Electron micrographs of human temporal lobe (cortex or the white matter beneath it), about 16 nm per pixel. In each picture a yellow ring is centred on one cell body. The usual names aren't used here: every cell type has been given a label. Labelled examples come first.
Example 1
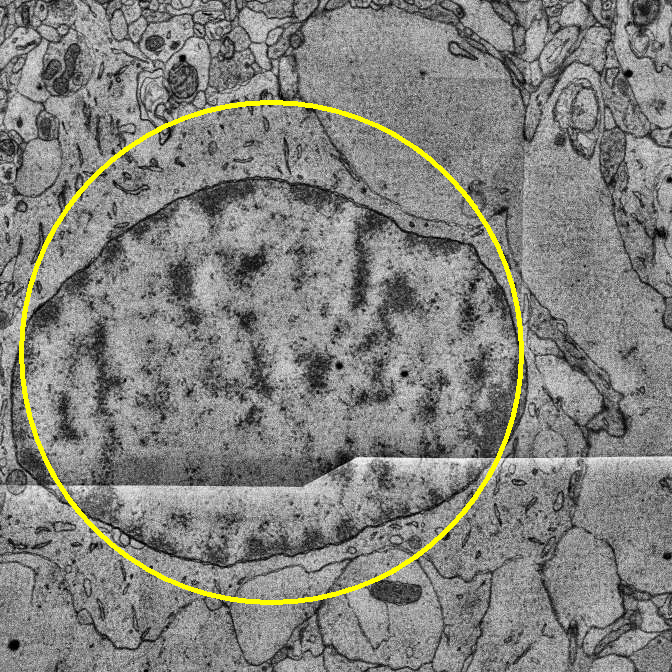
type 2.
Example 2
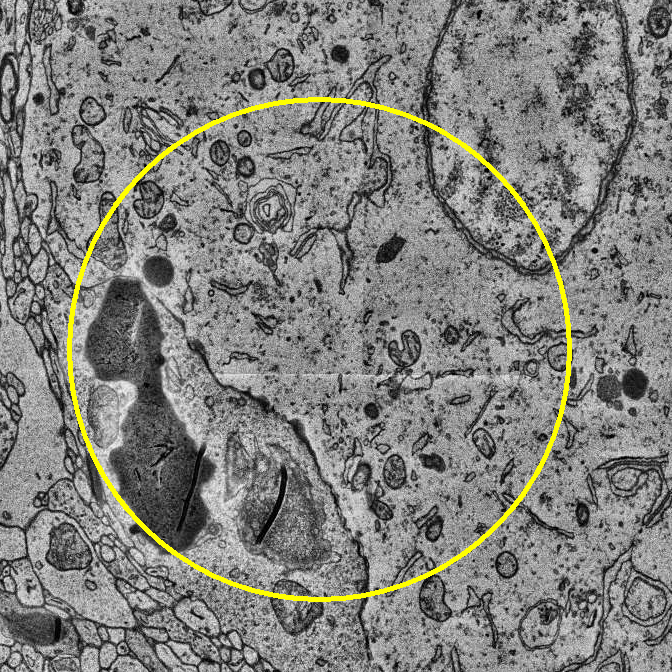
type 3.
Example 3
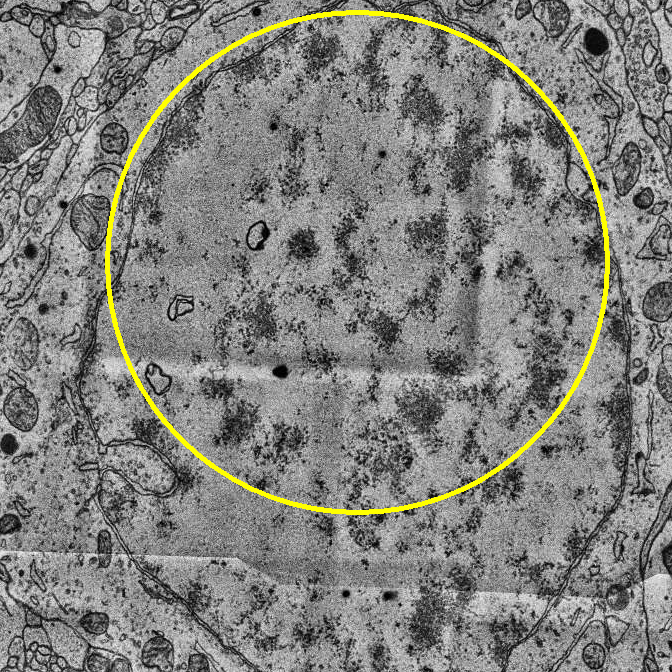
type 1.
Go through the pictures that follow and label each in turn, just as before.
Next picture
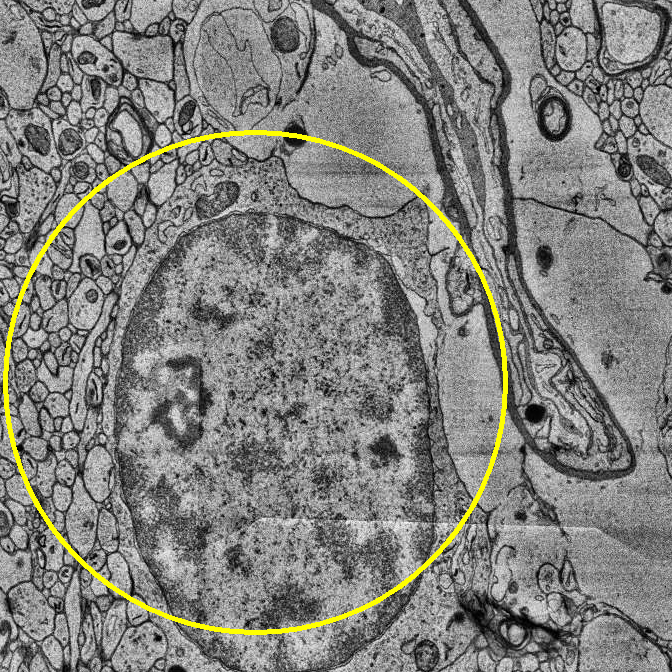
type 3.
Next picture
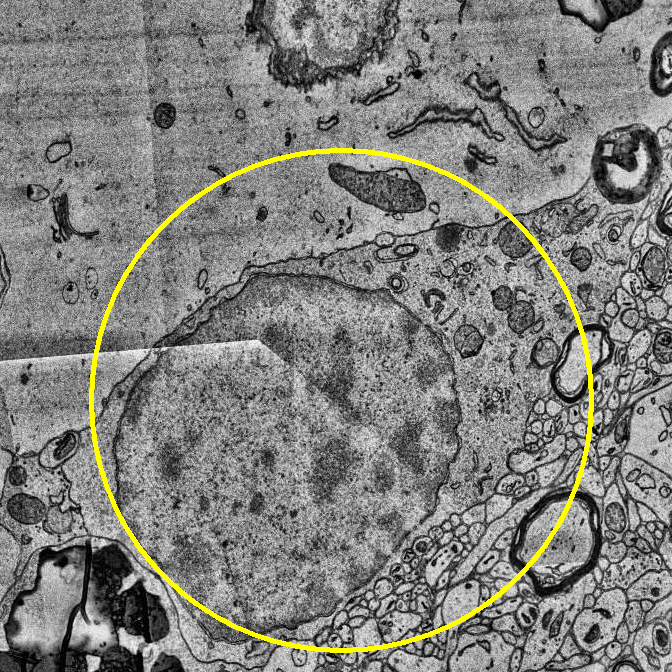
type 3.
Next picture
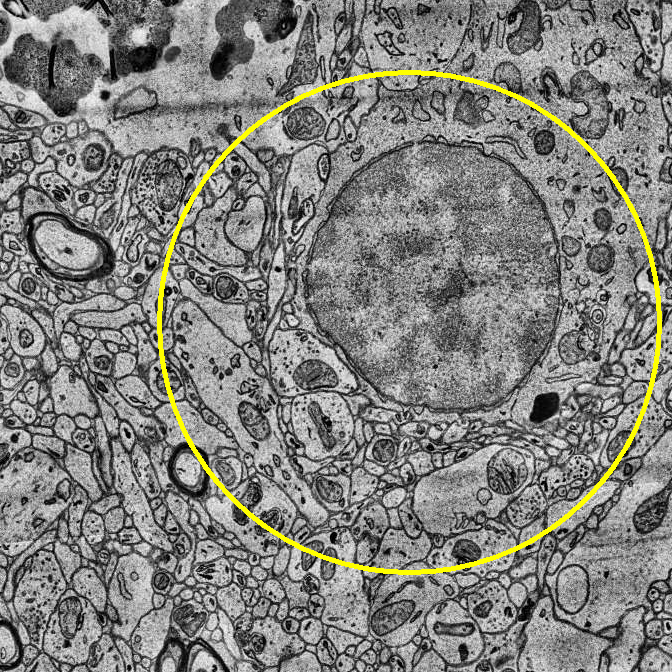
type 3.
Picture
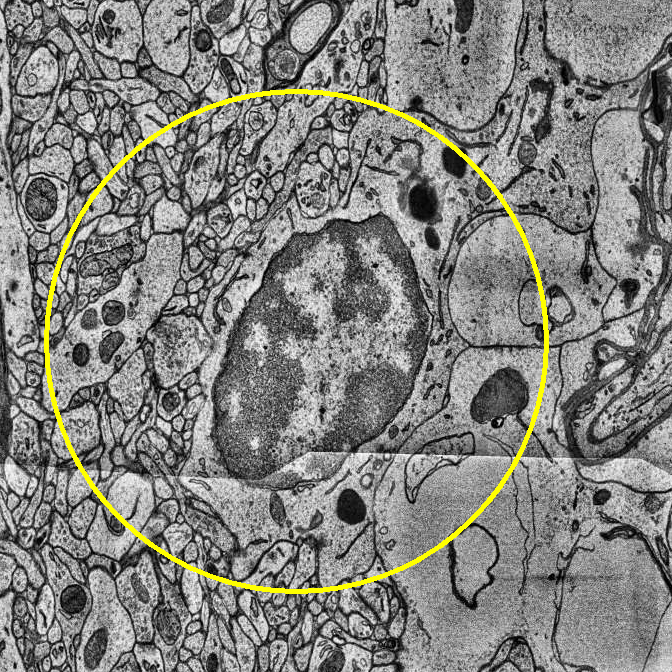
type 2.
